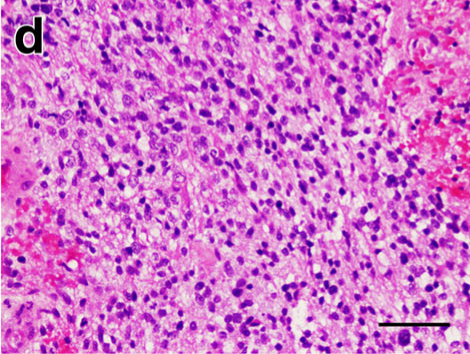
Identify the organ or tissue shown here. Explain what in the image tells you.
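High-grade glial neoplasm. Densely packed cells with crowded hyperchromatic nuclei. Nuclei vary in size and shape. Fine fibrillary pink background between the cells.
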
